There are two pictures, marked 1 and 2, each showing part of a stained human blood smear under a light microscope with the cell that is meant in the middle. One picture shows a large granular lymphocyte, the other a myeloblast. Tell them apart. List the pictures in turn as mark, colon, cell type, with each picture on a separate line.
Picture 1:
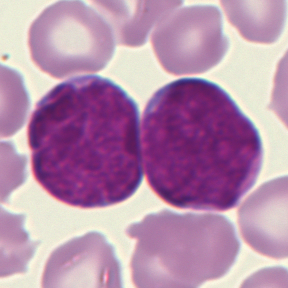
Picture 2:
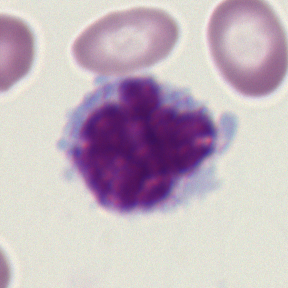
1: myeloblast
2: large granular lymphocyte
